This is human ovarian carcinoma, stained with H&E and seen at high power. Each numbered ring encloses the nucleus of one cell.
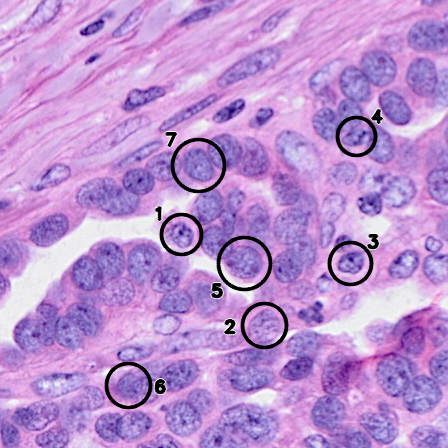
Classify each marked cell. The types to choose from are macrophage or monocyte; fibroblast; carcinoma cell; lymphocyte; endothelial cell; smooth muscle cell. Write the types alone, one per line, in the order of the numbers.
macrophage or monocyte
carcinoma cell
macrophage or monocyte
macrophage or monocyte
carcinoma cell
carcinoma cell
carcinoma cell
